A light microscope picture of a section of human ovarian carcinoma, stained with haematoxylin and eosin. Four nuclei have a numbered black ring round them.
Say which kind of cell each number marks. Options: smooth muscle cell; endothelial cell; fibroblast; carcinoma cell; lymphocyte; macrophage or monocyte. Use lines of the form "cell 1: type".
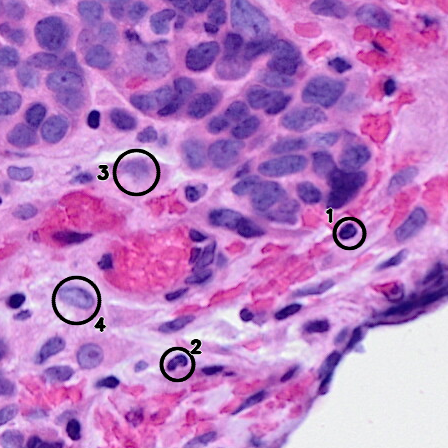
cell 1: lymphocyte
cell 2: lymphocyte
cell 3: fibroblast
cell 4: fibroblast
